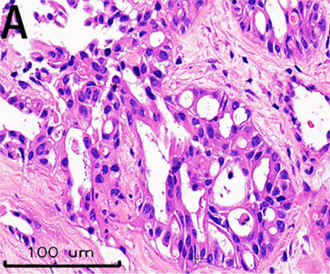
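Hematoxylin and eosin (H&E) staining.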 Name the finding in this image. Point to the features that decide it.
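Nuclei vary in size and shape. Some nuclei are enlarged and dark.
Hence: nuclear pleomorphism.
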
